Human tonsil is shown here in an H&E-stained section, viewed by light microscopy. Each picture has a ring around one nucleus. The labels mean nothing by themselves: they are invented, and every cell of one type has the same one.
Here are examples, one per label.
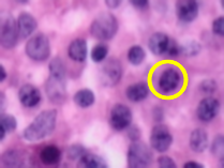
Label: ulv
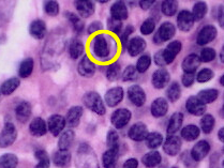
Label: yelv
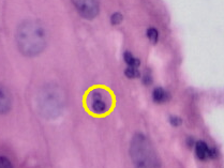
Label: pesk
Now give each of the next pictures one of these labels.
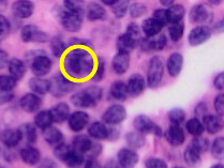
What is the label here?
yelv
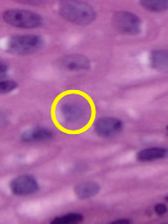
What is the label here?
pesk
